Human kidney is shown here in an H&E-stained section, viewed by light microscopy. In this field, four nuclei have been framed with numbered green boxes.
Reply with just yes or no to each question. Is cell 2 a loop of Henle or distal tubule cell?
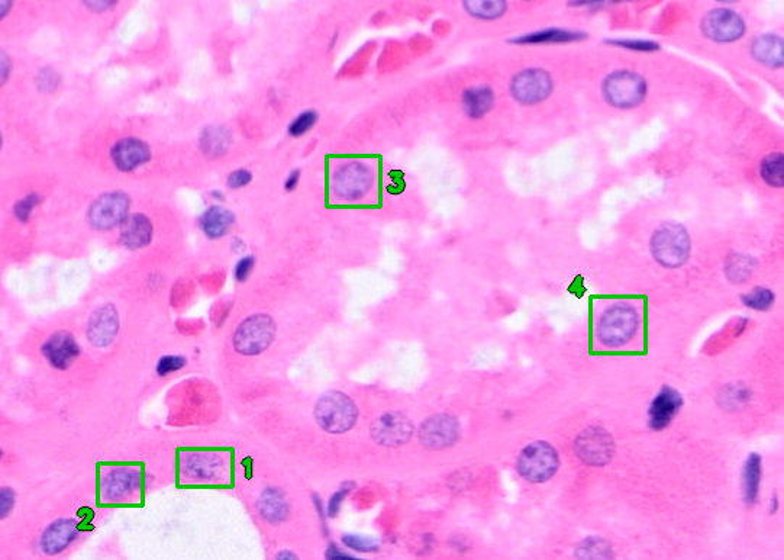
yes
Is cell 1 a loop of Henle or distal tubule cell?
yes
